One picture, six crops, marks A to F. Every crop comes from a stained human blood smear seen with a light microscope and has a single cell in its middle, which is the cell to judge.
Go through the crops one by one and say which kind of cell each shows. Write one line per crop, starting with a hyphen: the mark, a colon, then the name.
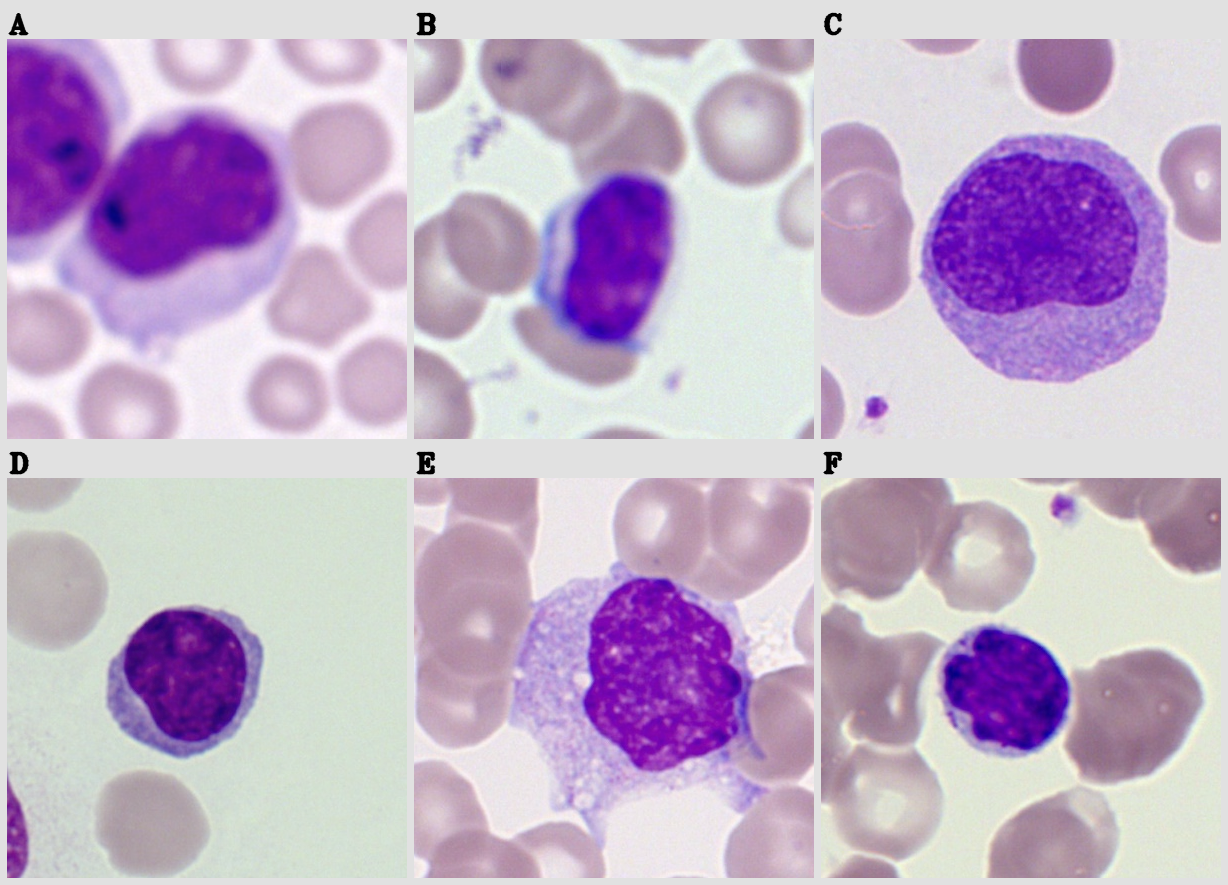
- A: monocyte
- B: lymphocyte
- C: myeloblast
- D: lymphocyte
- E: monocyte
- F: lymphocyte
